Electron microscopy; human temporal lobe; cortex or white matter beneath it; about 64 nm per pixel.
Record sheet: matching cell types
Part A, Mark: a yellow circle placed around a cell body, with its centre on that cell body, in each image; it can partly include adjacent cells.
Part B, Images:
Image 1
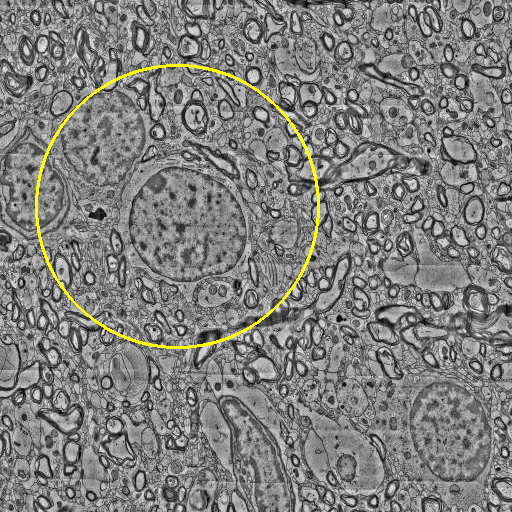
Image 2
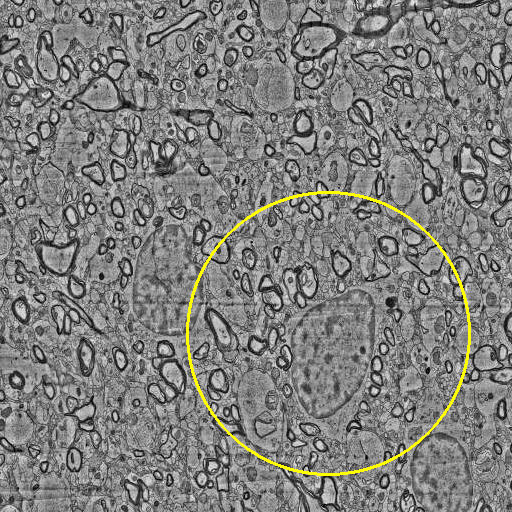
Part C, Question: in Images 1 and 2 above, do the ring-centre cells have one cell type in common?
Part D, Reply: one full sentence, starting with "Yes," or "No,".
No, the ring-centre cells of Image 1 and Image 2 are each of a separate cell type.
